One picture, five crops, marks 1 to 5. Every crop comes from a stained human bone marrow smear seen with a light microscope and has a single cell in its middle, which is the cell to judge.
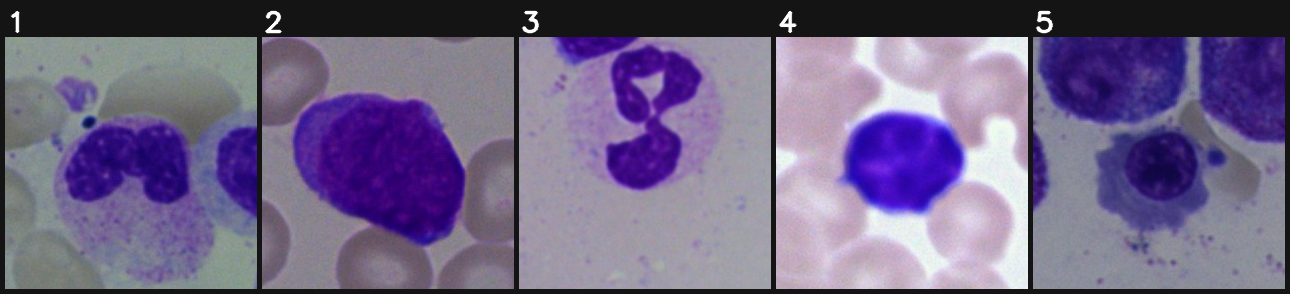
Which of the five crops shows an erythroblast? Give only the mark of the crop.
5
